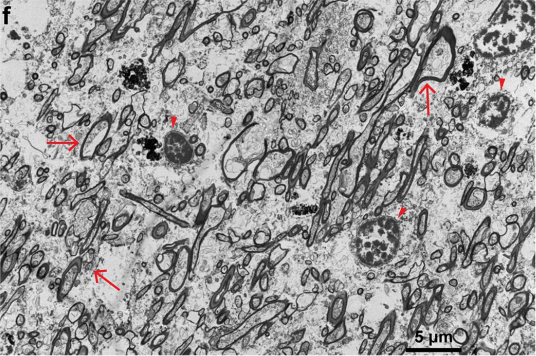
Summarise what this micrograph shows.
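White matter at ultrastructural level with many myelinated axon profiles in longitudinal, oblique and cross section. The myelin shows as thick, dark, electron-dense rims around pale axon interiors. Axons of differing calibres run roughly diagonally across the field. Between them lies pale, finely textured material with small profiles. A few rounded cell profiles with granular, dark dense inclusions are scattered among the fibres.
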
